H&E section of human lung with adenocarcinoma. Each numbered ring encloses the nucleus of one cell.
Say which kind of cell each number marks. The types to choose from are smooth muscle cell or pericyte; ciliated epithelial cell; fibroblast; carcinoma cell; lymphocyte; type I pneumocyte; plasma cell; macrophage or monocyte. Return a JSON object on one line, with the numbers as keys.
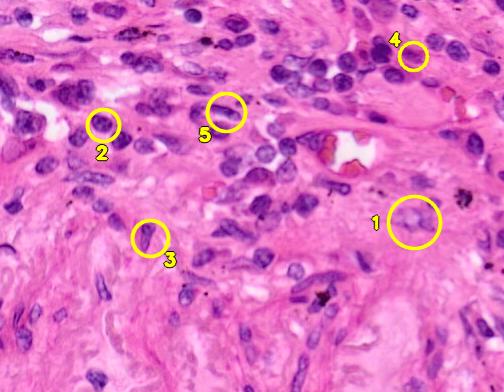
{"1": "fibroblast", "2": "lymphocyte", "3": "smooth muscle cell or pericyte", "4": "plasma cell", "5": "lymphocyte"}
